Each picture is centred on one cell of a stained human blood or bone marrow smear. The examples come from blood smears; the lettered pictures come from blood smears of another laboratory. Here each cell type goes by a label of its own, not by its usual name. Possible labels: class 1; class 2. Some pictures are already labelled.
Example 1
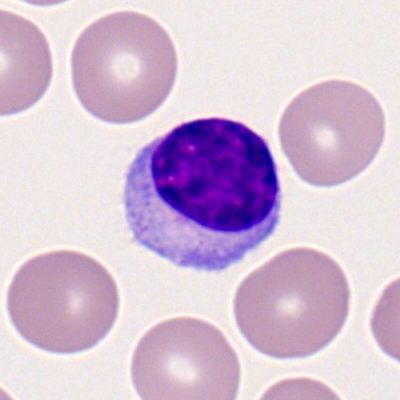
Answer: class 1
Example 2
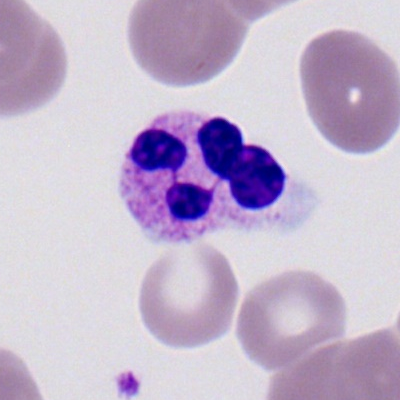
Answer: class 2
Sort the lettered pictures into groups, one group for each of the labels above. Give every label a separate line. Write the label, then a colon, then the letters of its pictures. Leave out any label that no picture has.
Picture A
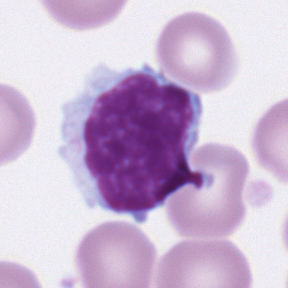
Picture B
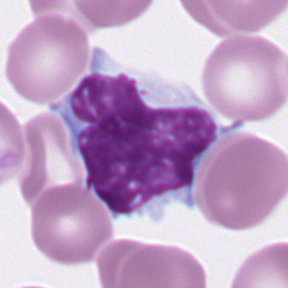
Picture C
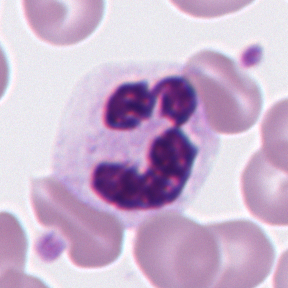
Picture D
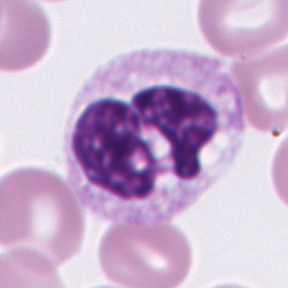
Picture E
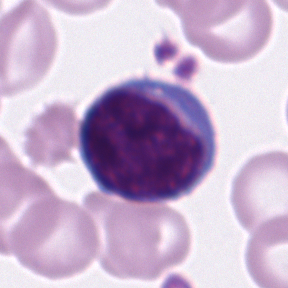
class 1: A, B, E
class 2: C, D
